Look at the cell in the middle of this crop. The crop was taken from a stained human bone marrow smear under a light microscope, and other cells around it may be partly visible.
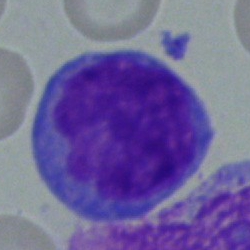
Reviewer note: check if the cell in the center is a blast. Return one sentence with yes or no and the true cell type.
Yes, the middle cell is classified as a blast.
